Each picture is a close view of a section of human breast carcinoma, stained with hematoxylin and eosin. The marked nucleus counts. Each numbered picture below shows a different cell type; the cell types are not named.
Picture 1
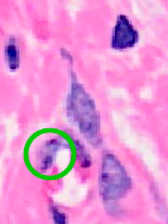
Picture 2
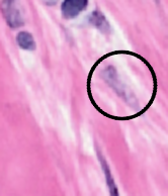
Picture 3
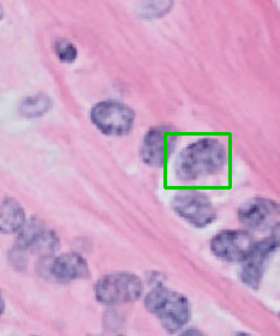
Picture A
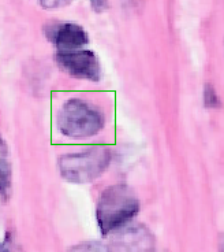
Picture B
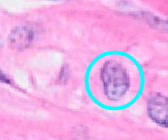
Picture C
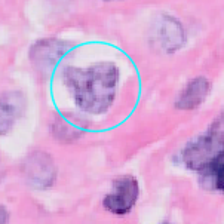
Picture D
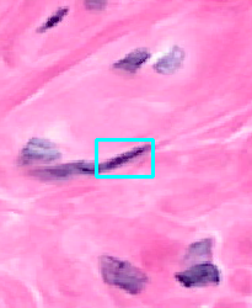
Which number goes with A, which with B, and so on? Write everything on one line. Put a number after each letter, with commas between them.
A 3, B 3, C 3, D 2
